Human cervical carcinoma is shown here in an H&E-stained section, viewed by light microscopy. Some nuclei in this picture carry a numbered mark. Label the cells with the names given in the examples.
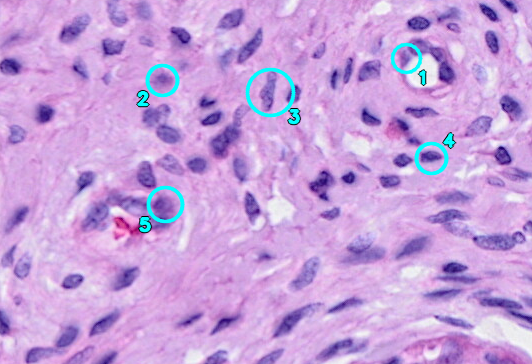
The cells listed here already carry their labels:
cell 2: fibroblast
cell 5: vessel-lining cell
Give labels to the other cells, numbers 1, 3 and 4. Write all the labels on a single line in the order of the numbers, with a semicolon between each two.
vessel-lining cell; fibroblast; fibroblast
